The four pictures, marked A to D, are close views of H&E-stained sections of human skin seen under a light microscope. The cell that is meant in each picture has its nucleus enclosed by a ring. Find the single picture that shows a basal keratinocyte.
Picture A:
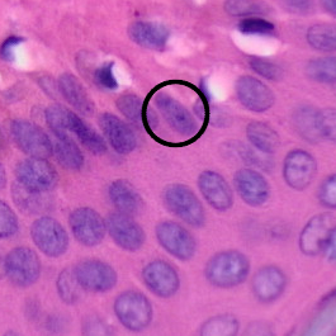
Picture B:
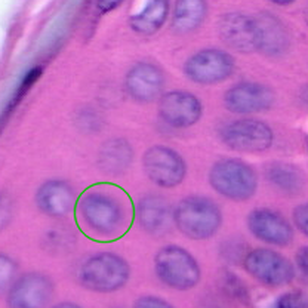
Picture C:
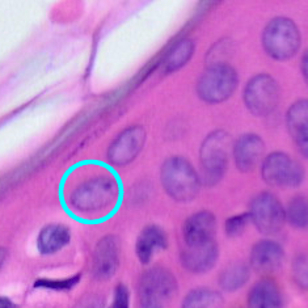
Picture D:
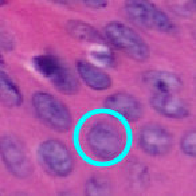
A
